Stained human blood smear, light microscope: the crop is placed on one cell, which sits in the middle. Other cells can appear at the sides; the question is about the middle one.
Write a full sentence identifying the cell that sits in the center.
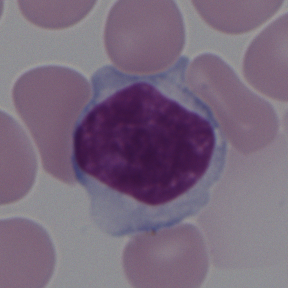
Seen at the centre of the crop is a lymphocyte.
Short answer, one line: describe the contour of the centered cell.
This cell has an uneven outline, either ragged or bearing projections.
